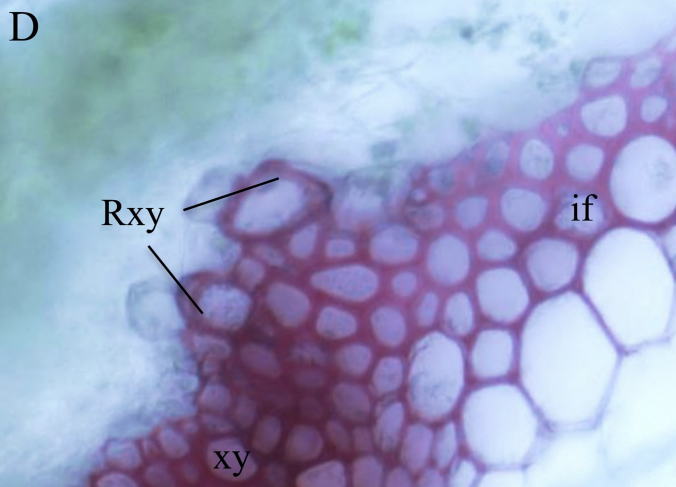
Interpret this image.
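The interfascicular fibers are polygonal cells with evenly stained walls, becoming larger and wider-lumened toward one side. The xylem is a dense group of small, deeply stained cells. Beyond them the tissue is unstained and pale.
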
